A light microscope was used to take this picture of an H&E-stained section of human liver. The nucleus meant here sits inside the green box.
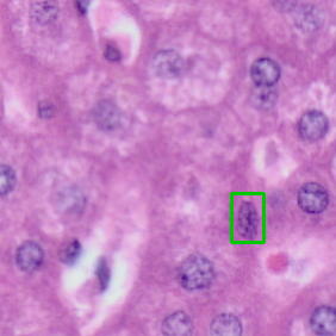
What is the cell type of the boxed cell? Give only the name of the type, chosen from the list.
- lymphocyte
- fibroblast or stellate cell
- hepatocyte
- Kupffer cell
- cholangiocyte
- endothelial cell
fibroblast or stellate cell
